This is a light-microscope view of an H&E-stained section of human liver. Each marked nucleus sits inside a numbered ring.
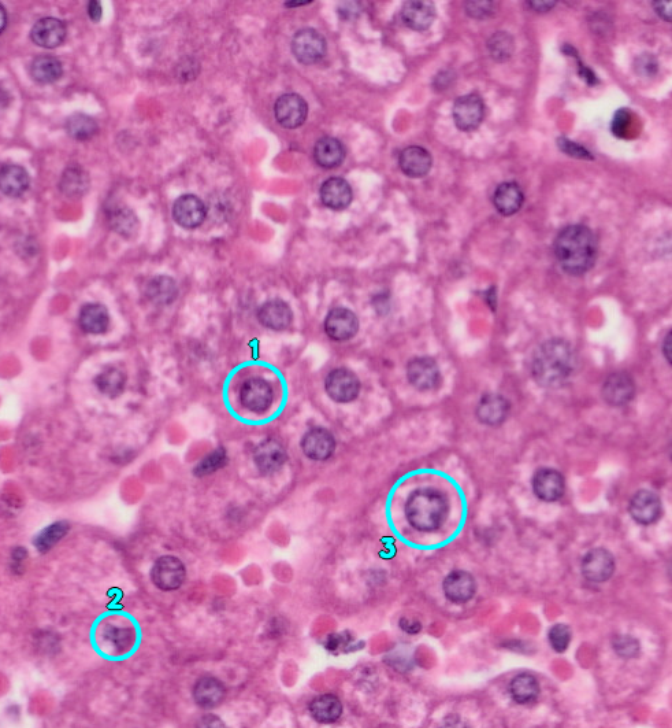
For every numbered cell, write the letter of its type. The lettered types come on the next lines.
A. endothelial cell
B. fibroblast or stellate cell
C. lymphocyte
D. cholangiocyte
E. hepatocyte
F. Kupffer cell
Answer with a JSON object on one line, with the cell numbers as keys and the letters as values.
{"1": "E", "2": "A", "3": "E"}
